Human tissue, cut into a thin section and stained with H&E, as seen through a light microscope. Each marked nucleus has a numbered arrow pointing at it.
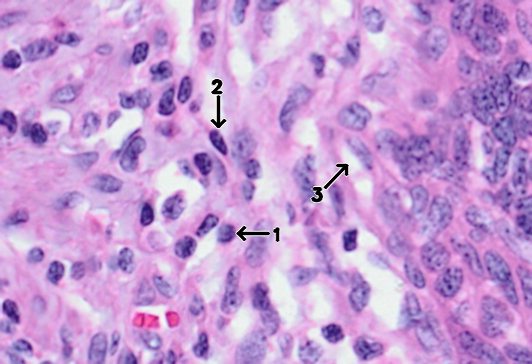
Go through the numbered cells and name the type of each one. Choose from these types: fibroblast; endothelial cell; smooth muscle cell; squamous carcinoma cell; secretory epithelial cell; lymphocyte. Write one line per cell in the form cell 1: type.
cell 1: lymphocyte
cell 2: lymphocyte
cell 3: endothelial cell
